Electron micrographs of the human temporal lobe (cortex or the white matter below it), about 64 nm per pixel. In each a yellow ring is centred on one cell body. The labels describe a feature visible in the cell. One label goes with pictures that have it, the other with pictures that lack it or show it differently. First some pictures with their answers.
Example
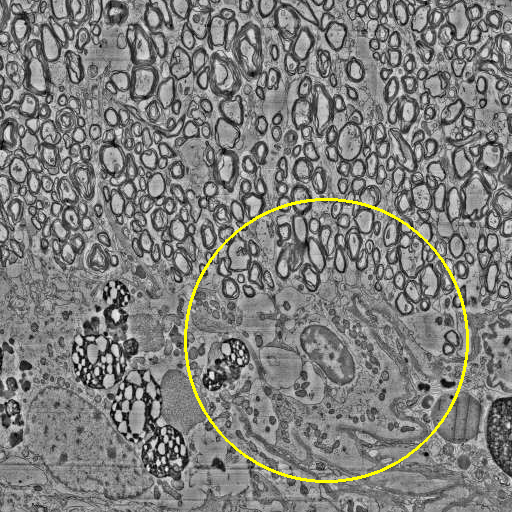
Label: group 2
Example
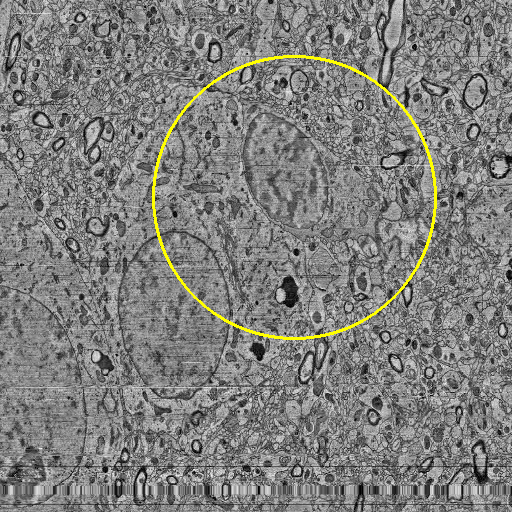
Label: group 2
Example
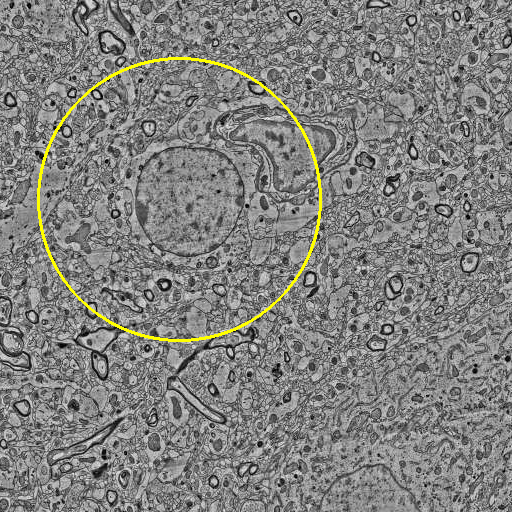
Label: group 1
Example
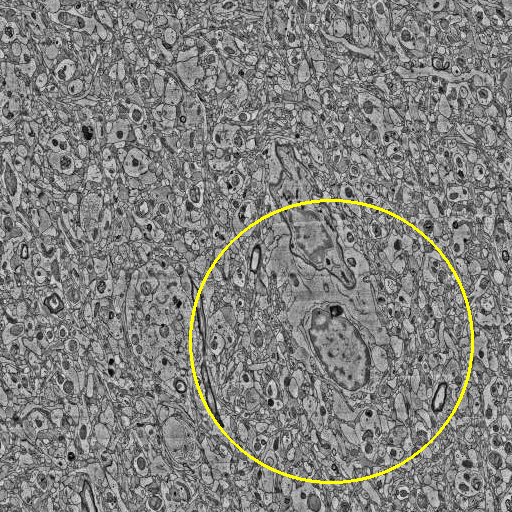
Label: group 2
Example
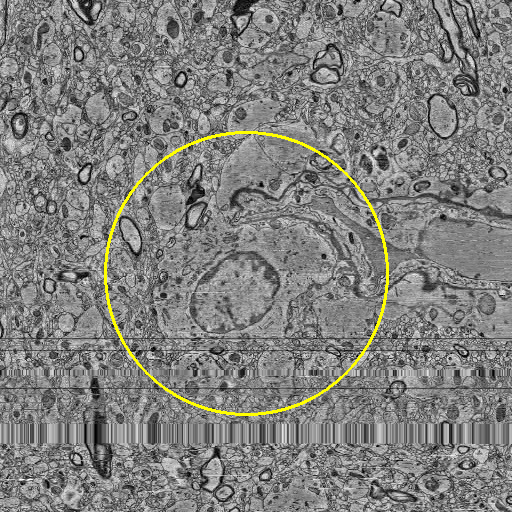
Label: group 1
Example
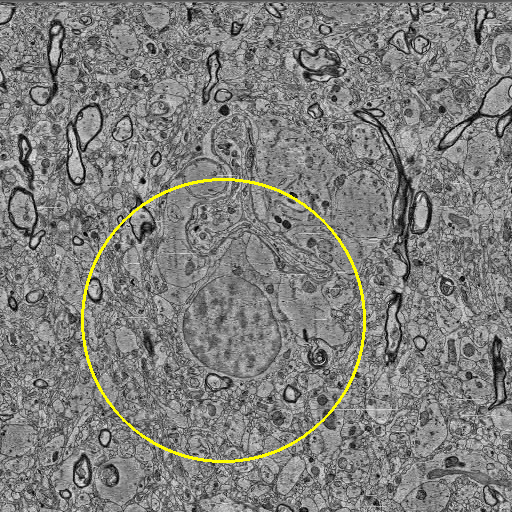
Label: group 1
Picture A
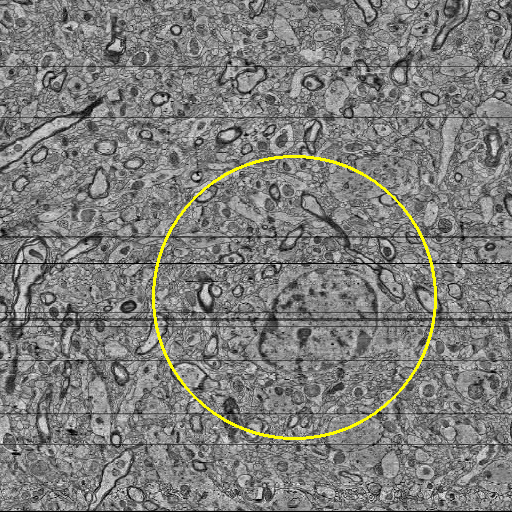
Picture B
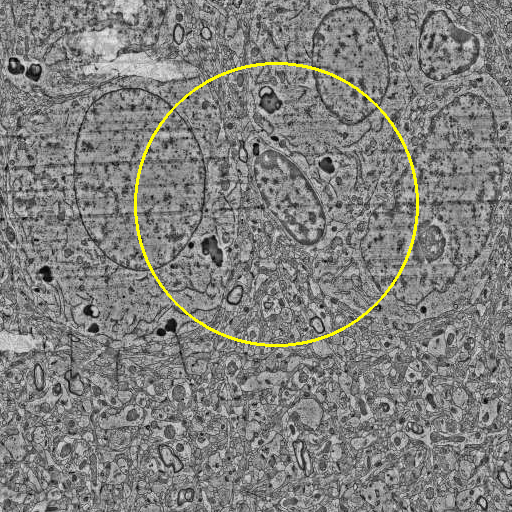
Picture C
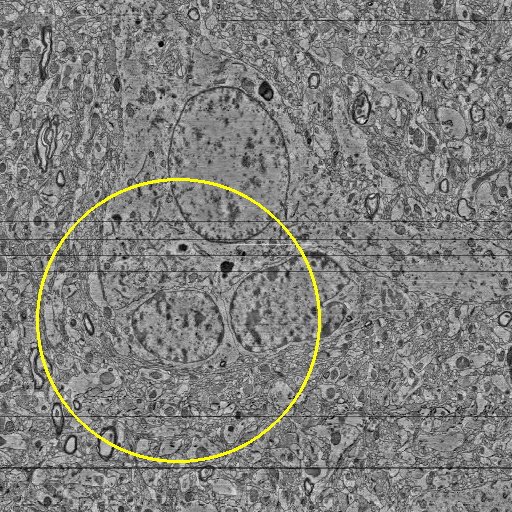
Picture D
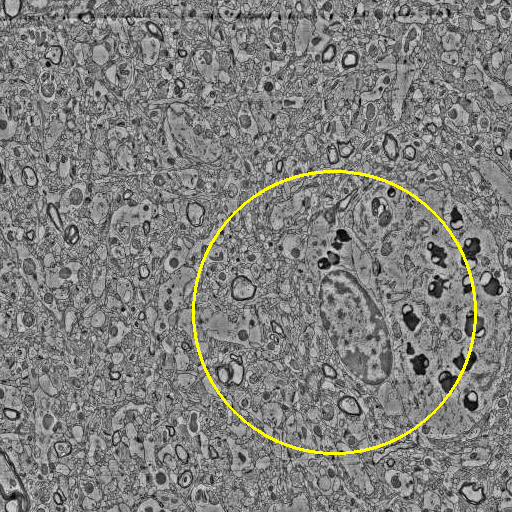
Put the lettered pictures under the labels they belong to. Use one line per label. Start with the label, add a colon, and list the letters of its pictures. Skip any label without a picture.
group 2: B, D
group 1: A, C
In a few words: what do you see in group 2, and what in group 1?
In group 2: clearly elongated nuclei. In group 1: round or nearly round nuclei.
